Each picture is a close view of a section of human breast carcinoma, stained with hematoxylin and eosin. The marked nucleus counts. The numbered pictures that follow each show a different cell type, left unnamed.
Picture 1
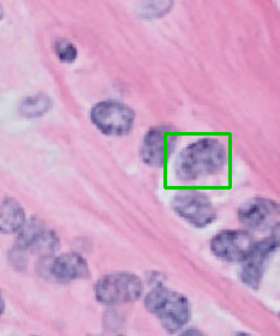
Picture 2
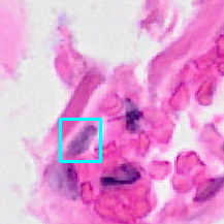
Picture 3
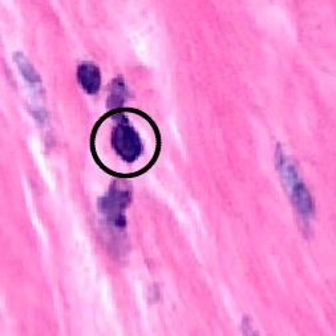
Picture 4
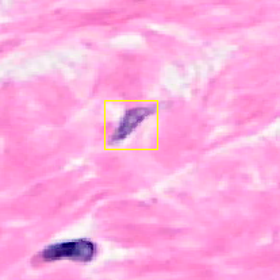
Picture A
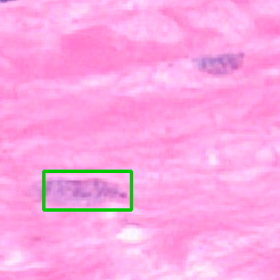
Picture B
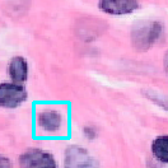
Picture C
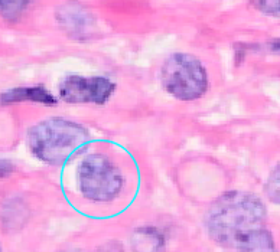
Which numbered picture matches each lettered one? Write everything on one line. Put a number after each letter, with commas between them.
A 4, B 3, C 1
